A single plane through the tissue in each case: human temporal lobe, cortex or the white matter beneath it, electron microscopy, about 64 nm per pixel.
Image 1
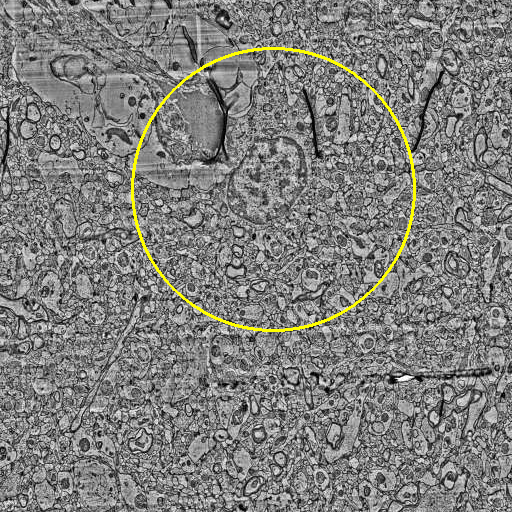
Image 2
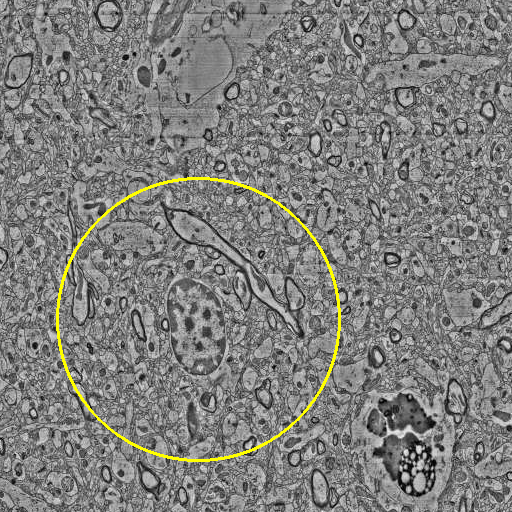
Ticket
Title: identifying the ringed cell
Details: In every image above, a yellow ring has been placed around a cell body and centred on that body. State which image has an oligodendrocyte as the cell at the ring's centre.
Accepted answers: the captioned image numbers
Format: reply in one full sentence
The ring in image 1 is centred on the cell in question.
